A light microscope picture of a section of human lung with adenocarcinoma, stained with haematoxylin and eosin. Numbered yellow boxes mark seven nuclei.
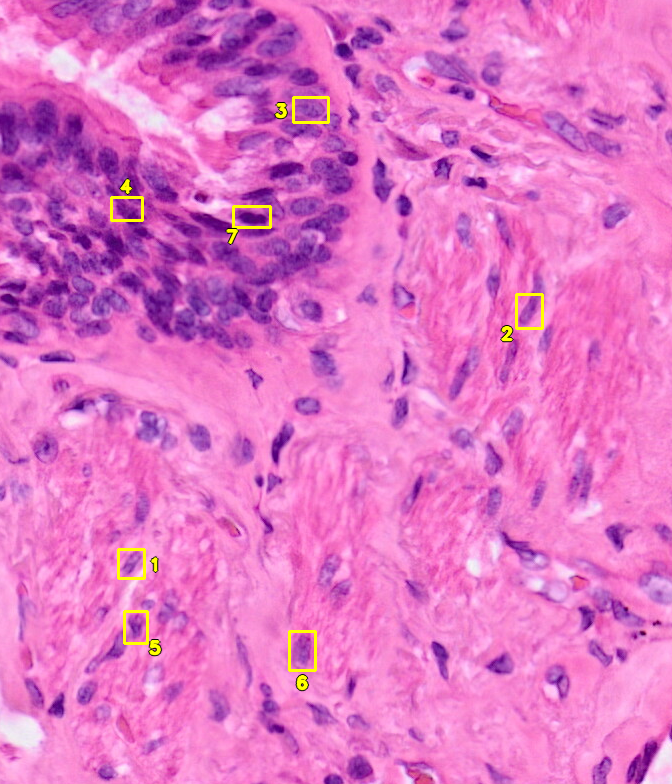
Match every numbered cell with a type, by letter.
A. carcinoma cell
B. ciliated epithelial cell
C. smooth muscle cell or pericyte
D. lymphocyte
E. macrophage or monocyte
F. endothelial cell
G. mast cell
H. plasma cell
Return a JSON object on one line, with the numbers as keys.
{"1": "C", "2": "C", "3": "B", "4": "B", "5": "C", "6": "C", "7": "B"}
